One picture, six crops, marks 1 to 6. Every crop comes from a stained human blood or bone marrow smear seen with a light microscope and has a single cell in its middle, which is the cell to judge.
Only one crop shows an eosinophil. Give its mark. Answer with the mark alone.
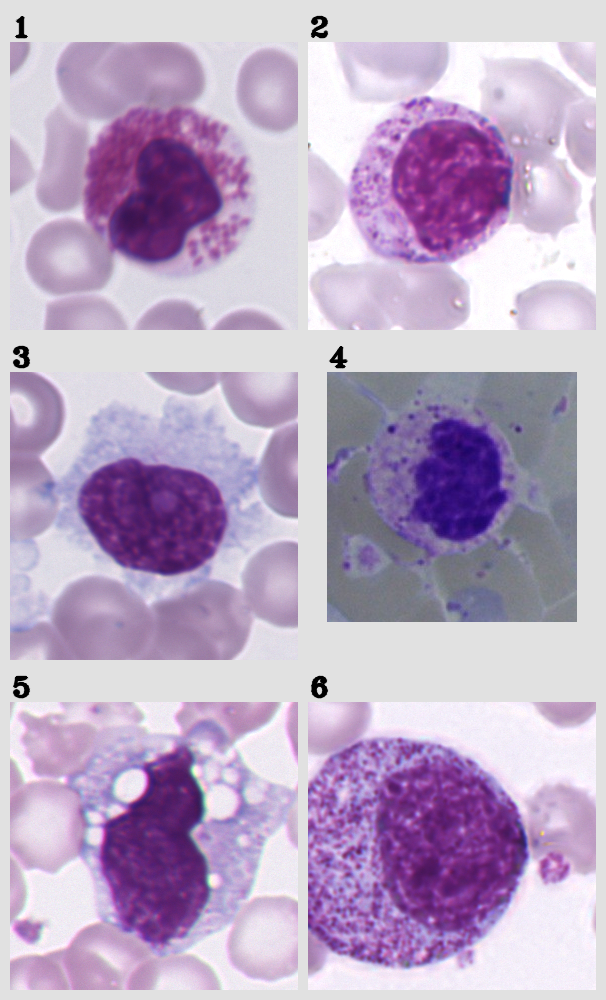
1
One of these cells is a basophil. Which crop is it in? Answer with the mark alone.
4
